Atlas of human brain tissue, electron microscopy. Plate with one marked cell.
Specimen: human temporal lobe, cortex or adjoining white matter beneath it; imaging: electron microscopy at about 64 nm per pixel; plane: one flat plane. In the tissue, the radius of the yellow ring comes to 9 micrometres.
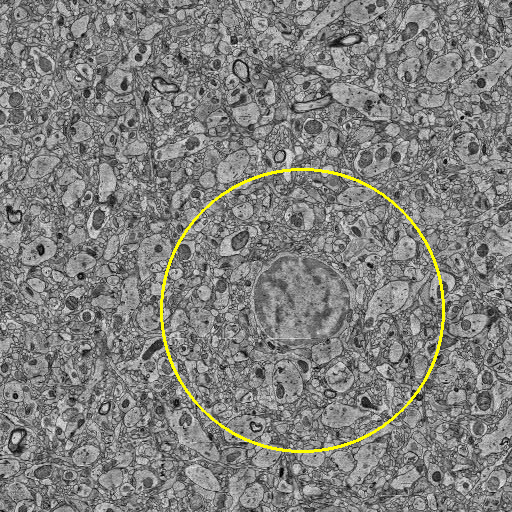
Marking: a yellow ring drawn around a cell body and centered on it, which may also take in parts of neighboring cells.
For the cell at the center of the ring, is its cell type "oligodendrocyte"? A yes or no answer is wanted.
Yes, that is its cell type.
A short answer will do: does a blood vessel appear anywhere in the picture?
No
